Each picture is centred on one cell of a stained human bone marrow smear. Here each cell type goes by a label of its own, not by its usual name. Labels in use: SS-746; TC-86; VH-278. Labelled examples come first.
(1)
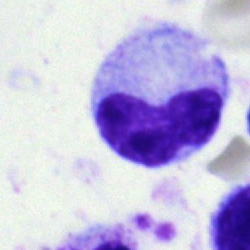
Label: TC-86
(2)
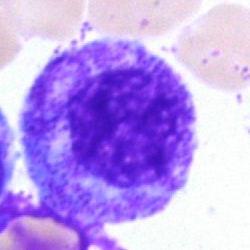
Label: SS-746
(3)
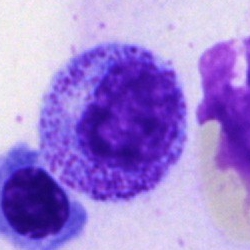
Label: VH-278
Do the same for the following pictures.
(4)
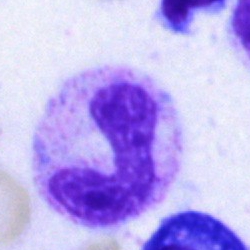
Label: TC-86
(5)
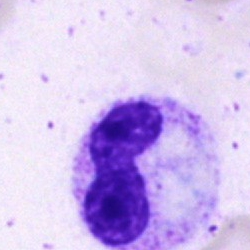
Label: TC-86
